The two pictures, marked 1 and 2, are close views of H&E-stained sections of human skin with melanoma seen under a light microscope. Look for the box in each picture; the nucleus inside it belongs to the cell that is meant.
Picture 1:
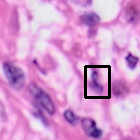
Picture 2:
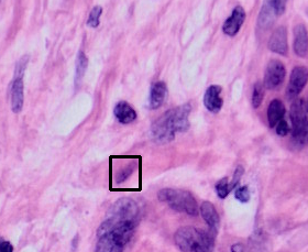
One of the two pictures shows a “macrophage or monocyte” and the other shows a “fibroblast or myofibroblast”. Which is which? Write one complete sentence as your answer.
It is picture 1 that shows a “fibroblast or myofibroblast”, and picture 2 that shows a “macrophage or monocyte”.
